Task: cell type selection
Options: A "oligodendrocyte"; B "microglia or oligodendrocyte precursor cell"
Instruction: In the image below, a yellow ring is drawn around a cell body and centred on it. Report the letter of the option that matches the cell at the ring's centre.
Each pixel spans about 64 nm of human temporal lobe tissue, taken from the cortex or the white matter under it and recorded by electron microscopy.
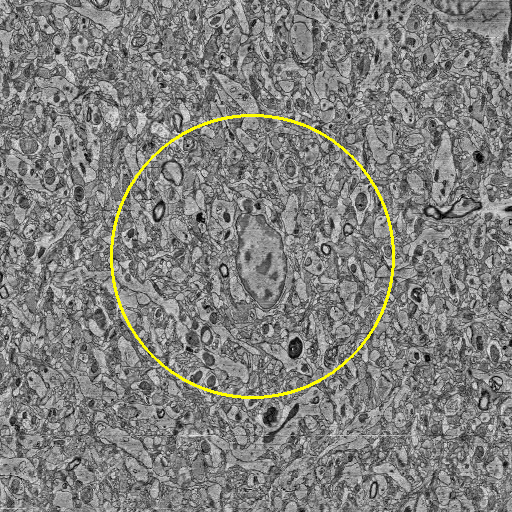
B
